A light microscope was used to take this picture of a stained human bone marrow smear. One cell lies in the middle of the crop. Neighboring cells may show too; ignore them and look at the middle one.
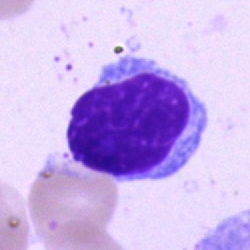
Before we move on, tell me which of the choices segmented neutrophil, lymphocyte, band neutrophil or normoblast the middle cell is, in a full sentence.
At the middle of the frame sits a lymphocyte.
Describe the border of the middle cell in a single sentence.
Irregular and not smooth, the cell boundary is ragged or drawn out into projections.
